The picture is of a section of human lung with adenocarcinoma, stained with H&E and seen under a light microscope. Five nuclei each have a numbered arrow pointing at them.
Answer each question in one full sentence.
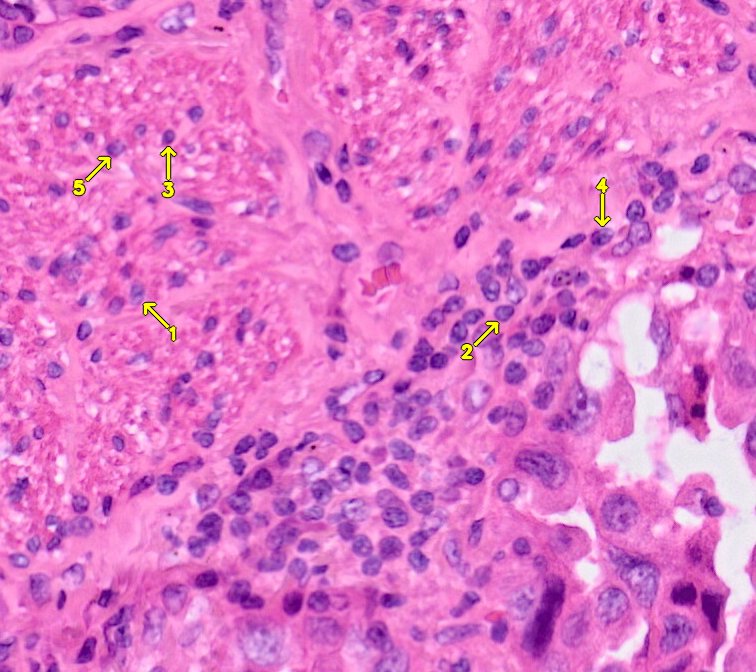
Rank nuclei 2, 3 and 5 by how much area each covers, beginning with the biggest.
From largest to smallest, the order is 2, 5, 3.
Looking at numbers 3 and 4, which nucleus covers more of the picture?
Number 4 is larger; its area is about 3 times that of number 3.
